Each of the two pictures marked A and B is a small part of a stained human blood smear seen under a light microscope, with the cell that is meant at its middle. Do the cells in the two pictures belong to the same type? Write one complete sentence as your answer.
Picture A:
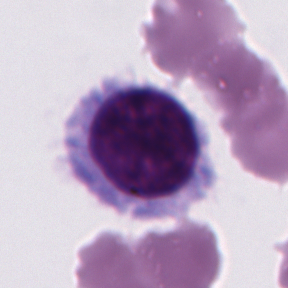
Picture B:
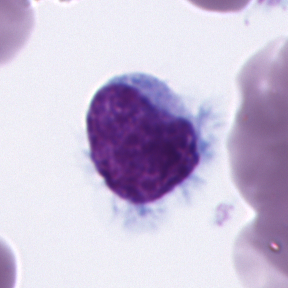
Yes, they are the same type: both are hairy cells.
